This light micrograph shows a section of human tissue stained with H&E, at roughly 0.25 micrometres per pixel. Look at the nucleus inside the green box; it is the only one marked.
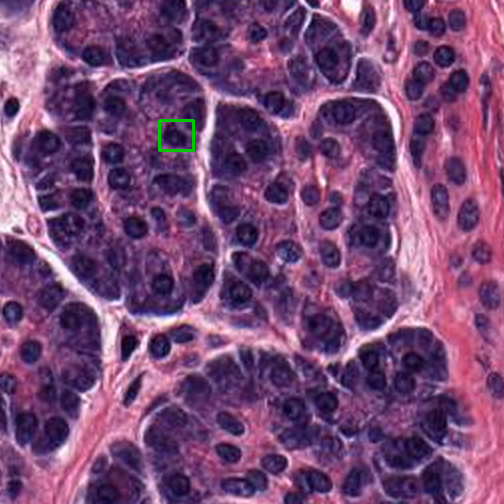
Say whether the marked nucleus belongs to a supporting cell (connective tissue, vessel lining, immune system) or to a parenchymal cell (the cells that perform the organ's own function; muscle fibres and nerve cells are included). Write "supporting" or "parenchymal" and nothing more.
parenchymal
